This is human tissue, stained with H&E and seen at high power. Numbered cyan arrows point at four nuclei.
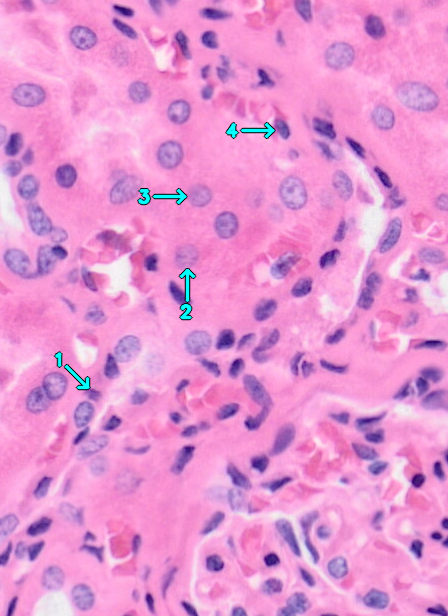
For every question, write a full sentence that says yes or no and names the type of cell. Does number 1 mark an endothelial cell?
No, cell 1 does not represent an endothelial cell; it represents a collecting duct cell.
